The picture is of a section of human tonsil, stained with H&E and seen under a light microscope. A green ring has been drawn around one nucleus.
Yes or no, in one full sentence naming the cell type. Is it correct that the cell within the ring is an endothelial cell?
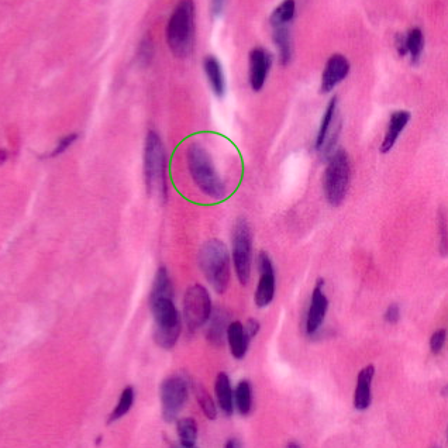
Yes, an endothelial cell is the correct identification for the cell within the ring.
